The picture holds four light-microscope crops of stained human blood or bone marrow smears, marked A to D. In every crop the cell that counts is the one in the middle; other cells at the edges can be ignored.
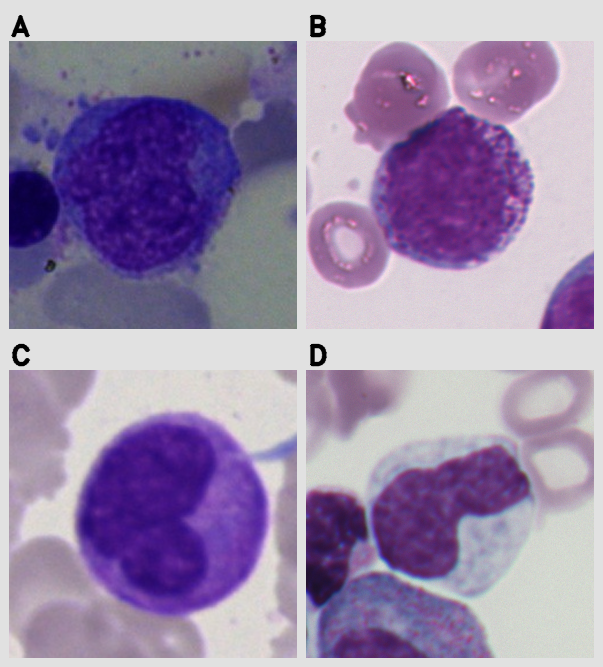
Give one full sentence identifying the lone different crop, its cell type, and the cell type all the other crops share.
Differing from the rest, crop B shows a myelocyte; the others all show monocytes.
